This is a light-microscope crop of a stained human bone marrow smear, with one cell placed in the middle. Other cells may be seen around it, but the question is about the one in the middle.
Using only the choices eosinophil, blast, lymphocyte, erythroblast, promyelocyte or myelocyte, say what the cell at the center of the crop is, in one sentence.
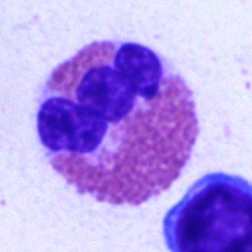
Here the centrally located cell is an eosinophil.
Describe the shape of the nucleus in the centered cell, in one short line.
It is worth mentioning that the nucleus carries two or more lobes.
